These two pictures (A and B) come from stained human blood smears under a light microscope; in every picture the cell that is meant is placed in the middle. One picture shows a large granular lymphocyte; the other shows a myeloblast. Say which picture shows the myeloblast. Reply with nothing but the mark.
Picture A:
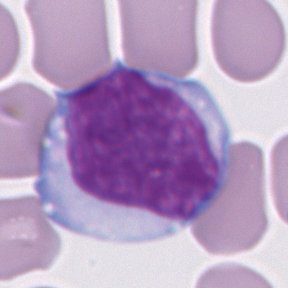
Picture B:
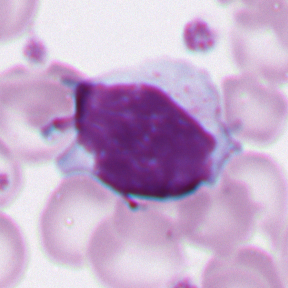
A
